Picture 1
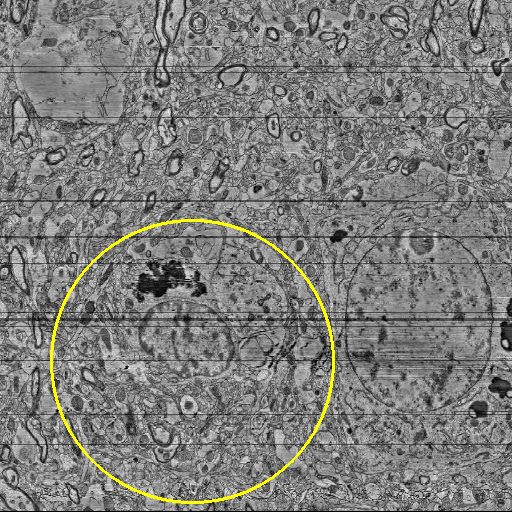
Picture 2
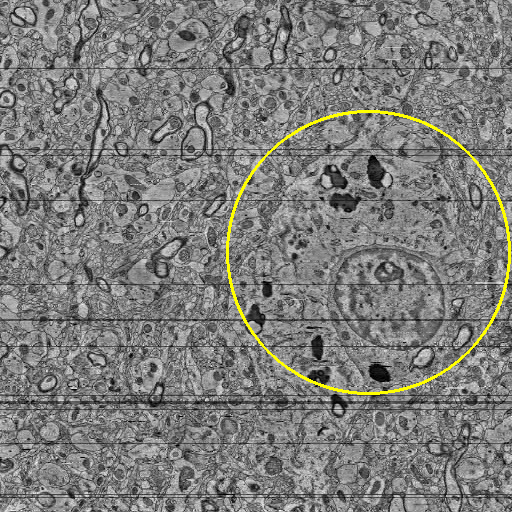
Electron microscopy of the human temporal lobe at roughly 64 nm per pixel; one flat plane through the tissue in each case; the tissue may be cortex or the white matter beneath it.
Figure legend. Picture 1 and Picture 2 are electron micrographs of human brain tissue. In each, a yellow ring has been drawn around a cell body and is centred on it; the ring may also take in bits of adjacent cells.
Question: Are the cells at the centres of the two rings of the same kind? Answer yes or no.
yes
